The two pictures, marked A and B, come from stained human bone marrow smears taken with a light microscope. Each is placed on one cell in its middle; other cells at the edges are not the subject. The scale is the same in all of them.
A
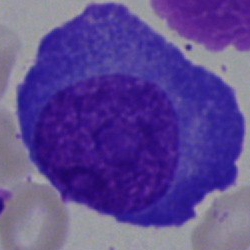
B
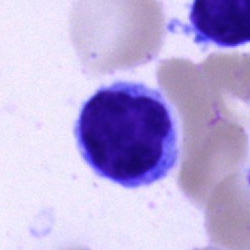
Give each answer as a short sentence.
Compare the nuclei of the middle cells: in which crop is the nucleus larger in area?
Larger is the nucleus in picture A, at roughly 3 times the area of the other.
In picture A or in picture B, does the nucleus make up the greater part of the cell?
The nucleus fills more of the cell in picture B than in picture A.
